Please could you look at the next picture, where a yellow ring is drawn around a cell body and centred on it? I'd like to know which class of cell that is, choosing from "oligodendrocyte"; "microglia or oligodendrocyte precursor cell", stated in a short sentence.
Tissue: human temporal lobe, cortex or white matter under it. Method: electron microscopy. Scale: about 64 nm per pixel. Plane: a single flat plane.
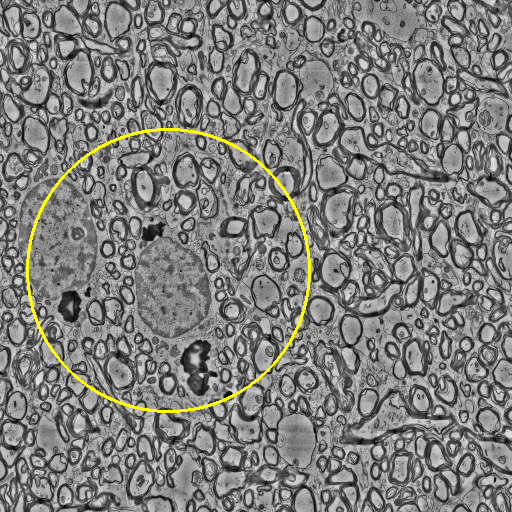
The ring's centre lies on an oligodendrocyte.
